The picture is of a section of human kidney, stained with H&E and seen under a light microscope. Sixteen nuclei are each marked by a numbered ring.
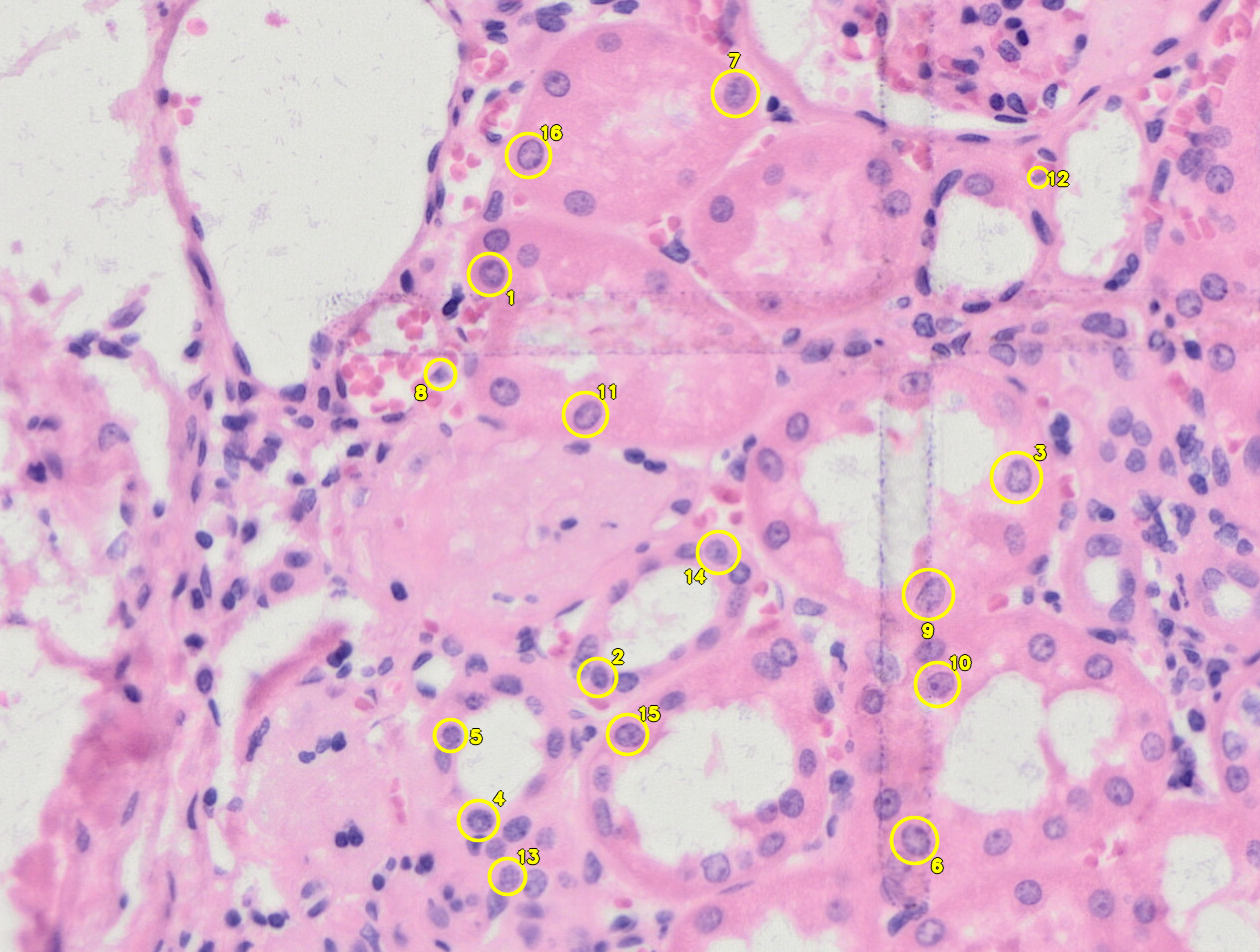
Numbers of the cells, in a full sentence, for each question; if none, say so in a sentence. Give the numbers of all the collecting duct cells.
Into the category of collecting duct cells fall the cells numbered 2, 4, 5, 13 and 14.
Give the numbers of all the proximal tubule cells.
The cells numbered 1, 3, 6, 7, 9, 10, 11, 15 and 16 are of the kind known as proximal tubule cells.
